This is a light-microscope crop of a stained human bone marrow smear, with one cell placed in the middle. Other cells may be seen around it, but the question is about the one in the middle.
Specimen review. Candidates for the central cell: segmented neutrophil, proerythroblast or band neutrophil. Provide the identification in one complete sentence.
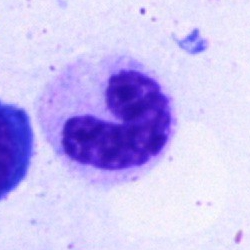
In short, the cell at the center is a band neutrophil.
